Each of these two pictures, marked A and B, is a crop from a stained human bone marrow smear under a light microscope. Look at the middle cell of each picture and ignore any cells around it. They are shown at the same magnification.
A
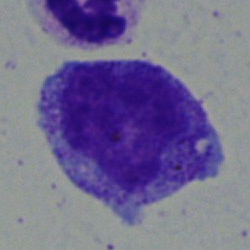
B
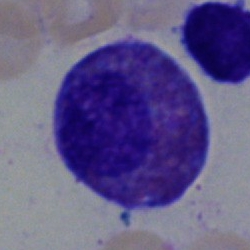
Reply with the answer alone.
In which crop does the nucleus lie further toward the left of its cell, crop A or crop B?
B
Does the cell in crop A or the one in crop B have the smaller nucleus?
B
